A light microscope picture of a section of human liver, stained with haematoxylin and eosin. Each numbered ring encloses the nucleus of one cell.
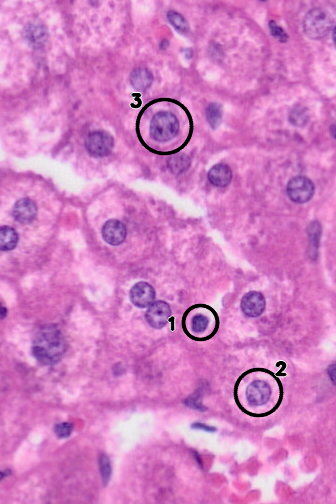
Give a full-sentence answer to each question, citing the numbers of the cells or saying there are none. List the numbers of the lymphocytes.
It is cell 1, and no other numbered cell, that is a lymphocyte.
